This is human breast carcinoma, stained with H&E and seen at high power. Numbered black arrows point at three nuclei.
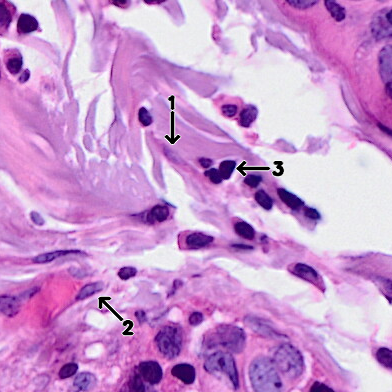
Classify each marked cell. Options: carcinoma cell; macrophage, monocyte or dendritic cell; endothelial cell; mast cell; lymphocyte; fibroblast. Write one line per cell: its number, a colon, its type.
1: fibroblast
2: endothelial cell
3: lymphocyte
